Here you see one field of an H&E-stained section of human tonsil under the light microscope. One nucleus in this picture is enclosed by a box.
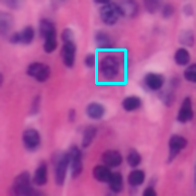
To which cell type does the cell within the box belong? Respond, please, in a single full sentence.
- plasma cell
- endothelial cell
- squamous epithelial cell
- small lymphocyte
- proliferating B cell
Recorded by type, the cell within the box is a plasma cell.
